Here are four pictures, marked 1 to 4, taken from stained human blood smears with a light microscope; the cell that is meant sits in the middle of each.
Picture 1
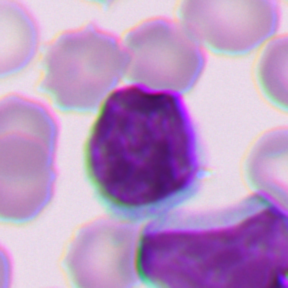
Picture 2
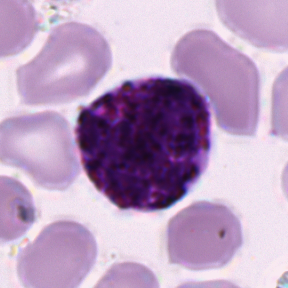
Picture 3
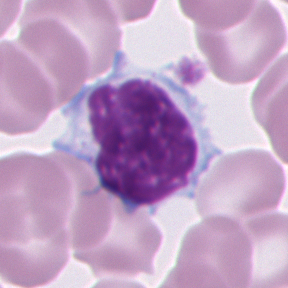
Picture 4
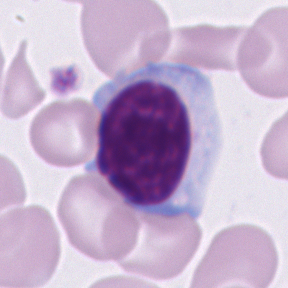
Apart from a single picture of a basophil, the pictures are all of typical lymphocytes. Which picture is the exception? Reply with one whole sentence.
The basophil is the one in picture 2.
